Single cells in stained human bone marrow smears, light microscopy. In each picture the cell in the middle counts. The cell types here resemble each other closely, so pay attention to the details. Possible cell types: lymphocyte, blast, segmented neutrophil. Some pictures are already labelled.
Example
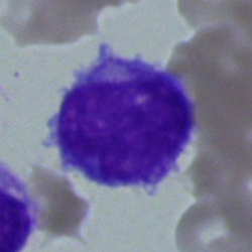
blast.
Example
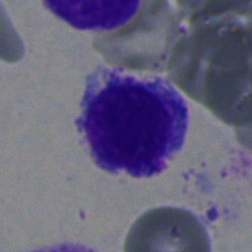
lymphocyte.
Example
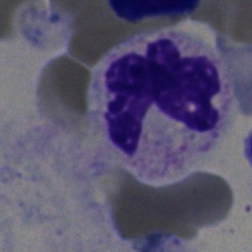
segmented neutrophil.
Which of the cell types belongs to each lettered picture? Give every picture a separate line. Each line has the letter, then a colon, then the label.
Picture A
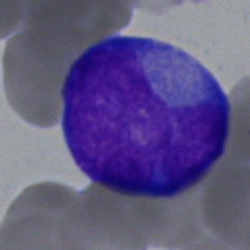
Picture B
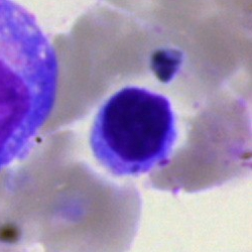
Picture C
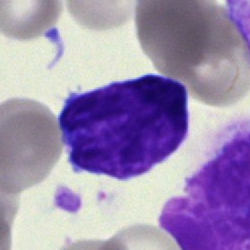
A: blast.
B: lymphocyte.
C: blast.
